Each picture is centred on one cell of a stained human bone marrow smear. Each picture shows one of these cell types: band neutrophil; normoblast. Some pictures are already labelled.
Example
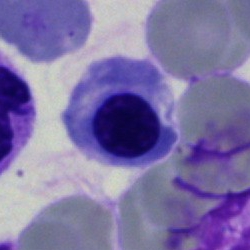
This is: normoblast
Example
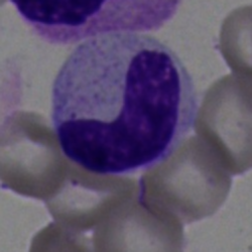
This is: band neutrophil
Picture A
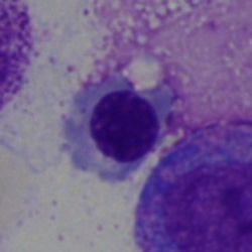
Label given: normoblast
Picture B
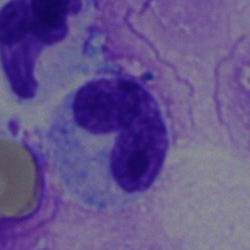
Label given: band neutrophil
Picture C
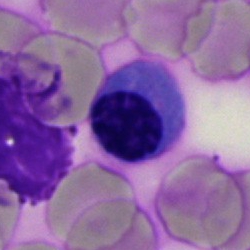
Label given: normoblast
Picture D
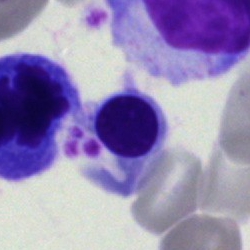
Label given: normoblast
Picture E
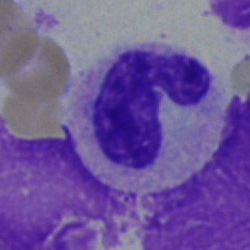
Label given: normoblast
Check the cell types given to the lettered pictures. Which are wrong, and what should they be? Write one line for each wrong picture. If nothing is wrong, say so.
E should be band neutrophil, not normoblast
